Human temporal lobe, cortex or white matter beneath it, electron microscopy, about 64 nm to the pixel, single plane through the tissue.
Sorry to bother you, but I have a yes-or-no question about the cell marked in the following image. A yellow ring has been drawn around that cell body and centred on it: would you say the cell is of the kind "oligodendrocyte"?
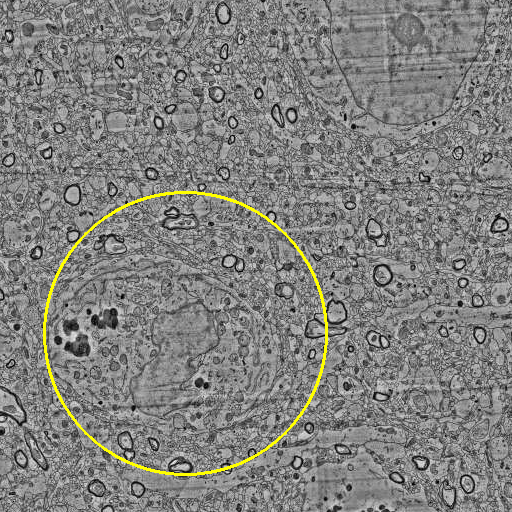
no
